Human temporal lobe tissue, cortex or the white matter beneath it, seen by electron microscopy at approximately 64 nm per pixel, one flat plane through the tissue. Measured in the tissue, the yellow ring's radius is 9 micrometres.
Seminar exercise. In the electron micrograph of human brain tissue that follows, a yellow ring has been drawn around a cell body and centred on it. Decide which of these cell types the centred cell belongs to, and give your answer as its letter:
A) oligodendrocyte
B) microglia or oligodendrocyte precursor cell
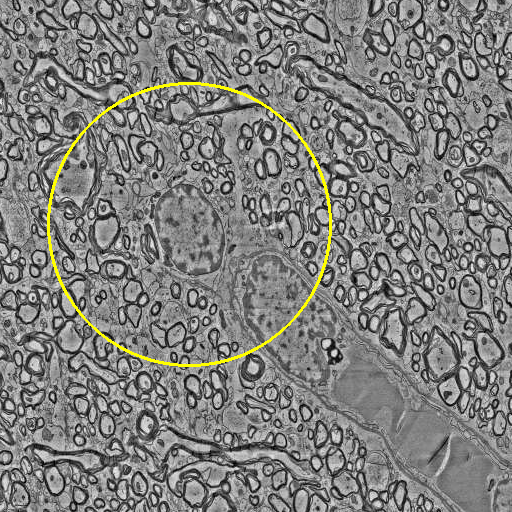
B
